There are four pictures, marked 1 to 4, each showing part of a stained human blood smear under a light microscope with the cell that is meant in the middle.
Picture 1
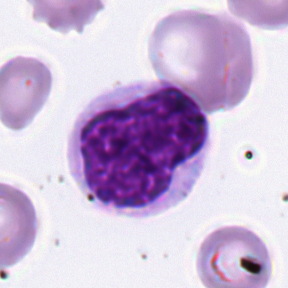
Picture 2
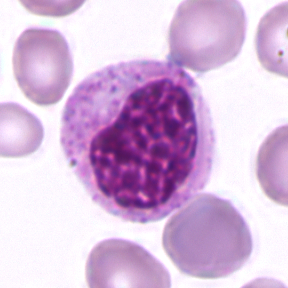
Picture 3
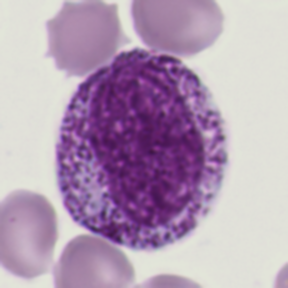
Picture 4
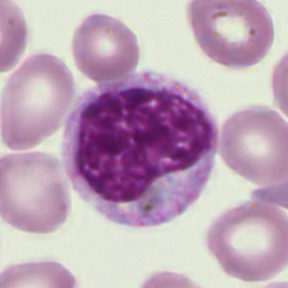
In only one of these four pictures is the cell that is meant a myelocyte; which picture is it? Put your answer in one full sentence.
The cell in picture 3 is the myelocyte.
